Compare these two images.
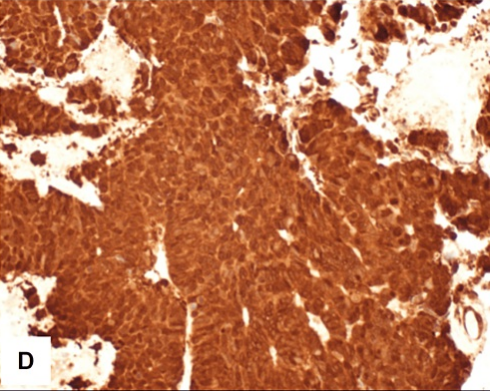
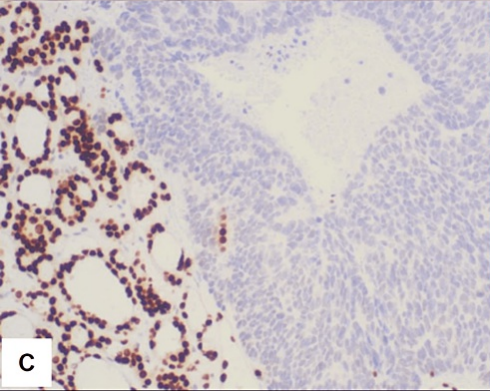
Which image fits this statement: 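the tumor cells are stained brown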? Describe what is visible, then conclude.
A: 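Second image: the sheet of crowded tumor cells is blue only, while the small glands at the left are brown. First image: the whole sheet of tumor cells is dark brown.
Answer: the first image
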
